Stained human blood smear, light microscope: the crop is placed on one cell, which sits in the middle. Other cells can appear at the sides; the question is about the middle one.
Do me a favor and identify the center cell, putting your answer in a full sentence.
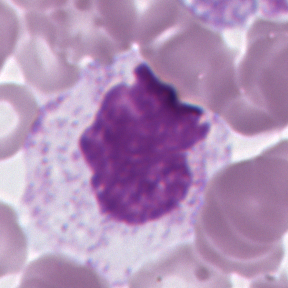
In short, the cell at the center is a neutrophil.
